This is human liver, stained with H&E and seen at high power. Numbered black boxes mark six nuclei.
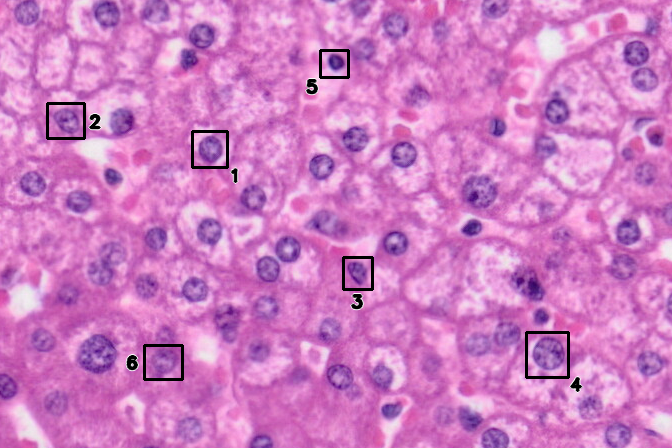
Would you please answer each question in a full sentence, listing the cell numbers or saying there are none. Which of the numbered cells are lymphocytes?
It is cell 5, and no other numbered cell, that is a lymphocyte.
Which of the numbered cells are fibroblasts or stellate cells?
Only the cell numbered 3 qualifies as a fibroblast or stellate cell among the marked cells.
